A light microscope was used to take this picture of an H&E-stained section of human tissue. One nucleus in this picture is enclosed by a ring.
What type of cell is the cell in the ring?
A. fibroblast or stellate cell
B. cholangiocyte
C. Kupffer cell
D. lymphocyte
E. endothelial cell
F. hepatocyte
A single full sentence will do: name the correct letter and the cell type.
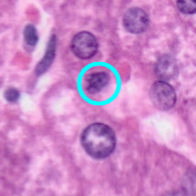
The correct response is option A: the cell in the ring is a fibroblast or stellate cell.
